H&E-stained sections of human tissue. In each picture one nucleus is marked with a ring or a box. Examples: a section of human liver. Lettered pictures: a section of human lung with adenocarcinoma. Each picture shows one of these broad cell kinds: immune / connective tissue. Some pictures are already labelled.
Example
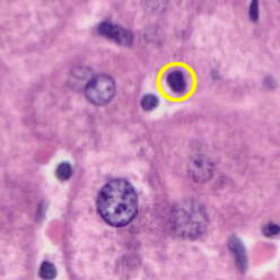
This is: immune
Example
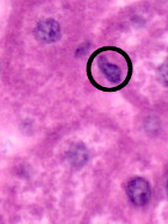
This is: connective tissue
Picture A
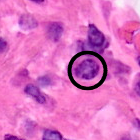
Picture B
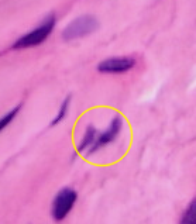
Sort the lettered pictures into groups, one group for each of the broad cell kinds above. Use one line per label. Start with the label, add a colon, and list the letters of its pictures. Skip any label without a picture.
immune: A
connective tissue: B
